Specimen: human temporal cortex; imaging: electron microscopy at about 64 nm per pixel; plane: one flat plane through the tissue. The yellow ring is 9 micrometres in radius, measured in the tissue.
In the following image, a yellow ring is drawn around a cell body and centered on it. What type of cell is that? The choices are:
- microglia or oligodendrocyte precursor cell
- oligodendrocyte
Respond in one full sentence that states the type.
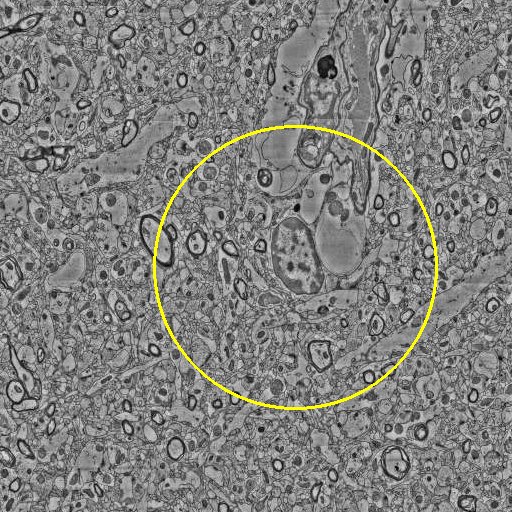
The cell at the center of the yellow ring in the image is a microglial cell or oligodendrocyte precursor cell.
